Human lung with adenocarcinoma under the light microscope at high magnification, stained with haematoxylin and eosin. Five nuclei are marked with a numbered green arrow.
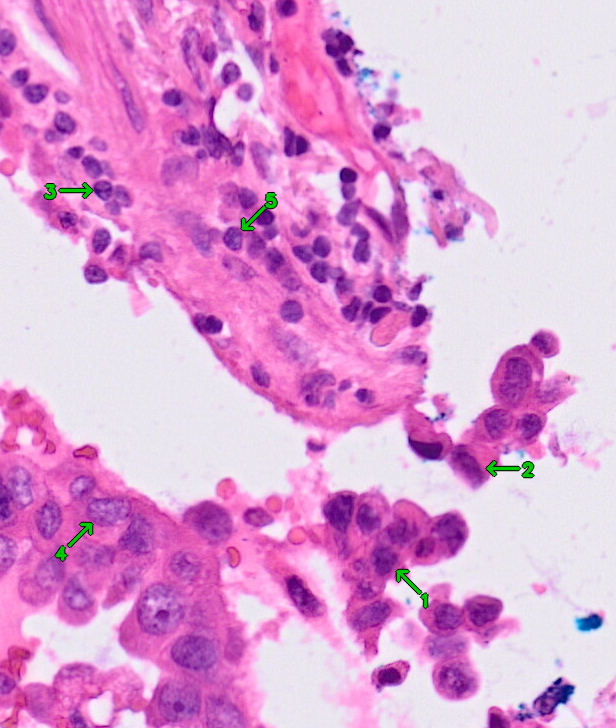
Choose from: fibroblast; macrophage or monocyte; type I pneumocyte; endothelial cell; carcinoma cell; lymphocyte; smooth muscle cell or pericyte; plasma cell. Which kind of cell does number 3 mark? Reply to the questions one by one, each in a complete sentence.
The cell tagged with 3 in this tissue section is a lymphocyte.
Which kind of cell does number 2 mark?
The numbered cell 2 in this field is a carcinoma cell.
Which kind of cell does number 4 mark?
The marked cell with the number 4 is recognised as a carcinoma cell.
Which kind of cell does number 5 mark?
Looking at the numbered marks, cell 5 is a lymphocyte.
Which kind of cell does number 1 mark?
Cell 1, among those numbered, is a carcinoma cell.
